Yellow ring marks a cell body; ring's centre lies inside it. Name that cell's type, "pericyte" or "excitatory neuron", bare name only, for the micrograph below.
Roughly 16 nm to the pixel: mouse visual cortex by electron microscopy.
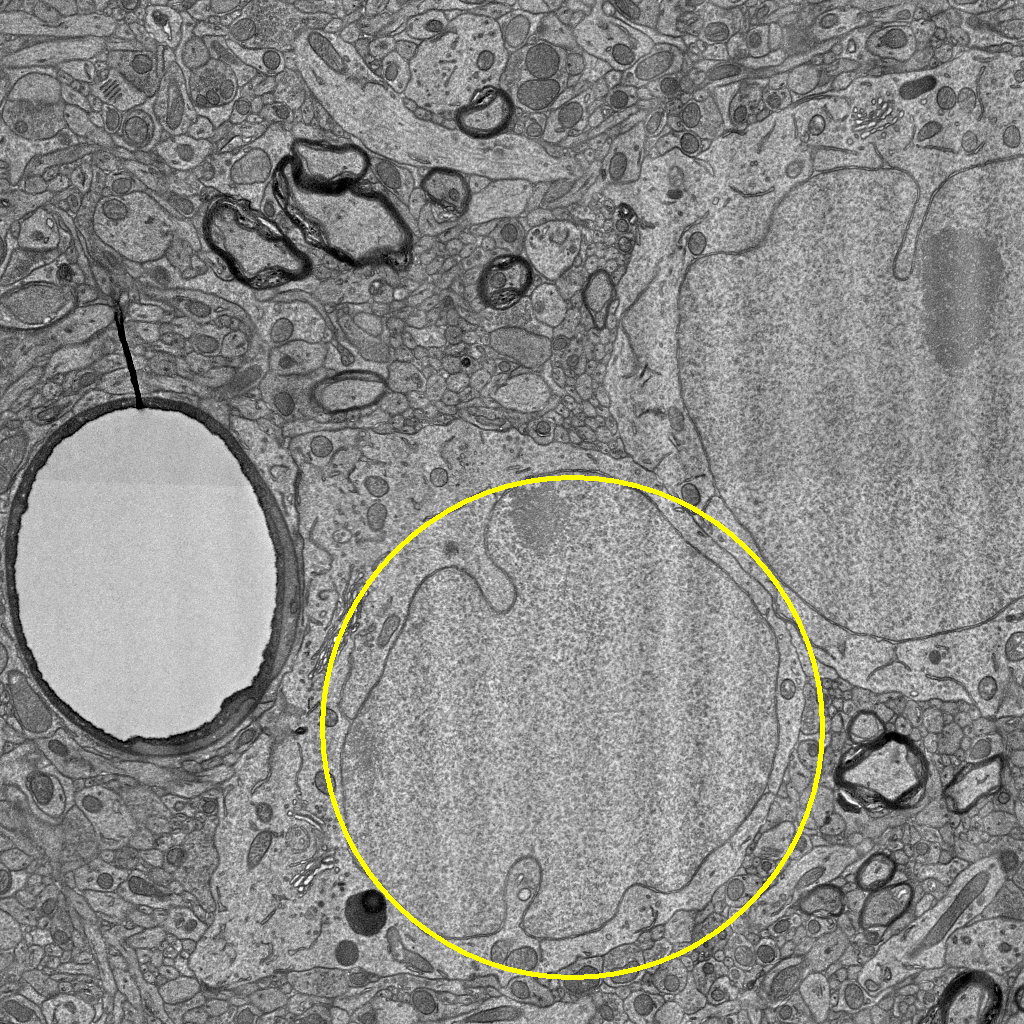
excitatory neuron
